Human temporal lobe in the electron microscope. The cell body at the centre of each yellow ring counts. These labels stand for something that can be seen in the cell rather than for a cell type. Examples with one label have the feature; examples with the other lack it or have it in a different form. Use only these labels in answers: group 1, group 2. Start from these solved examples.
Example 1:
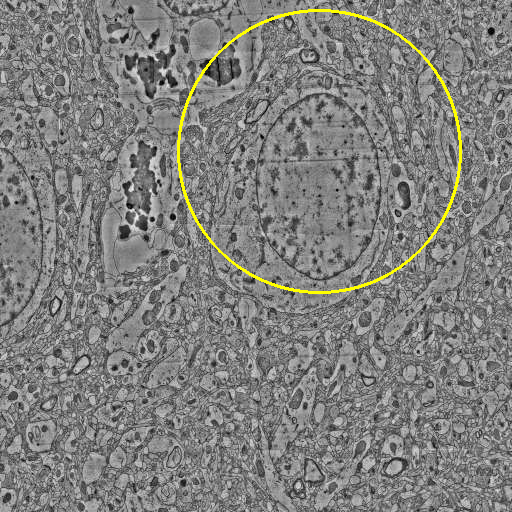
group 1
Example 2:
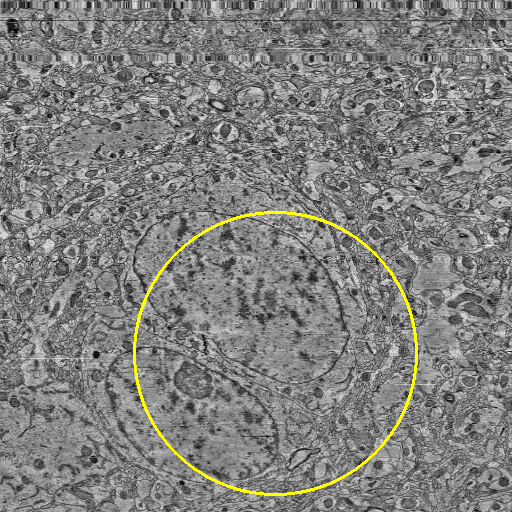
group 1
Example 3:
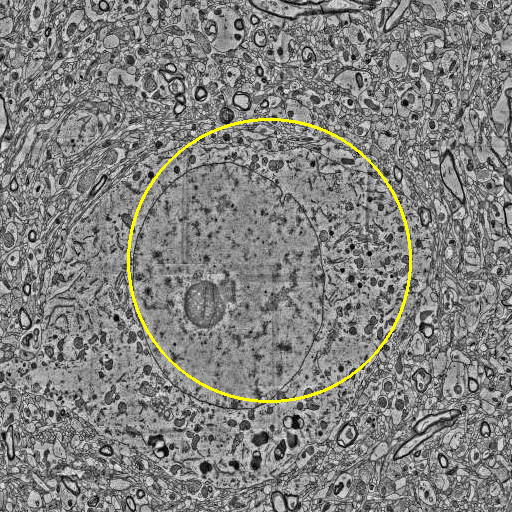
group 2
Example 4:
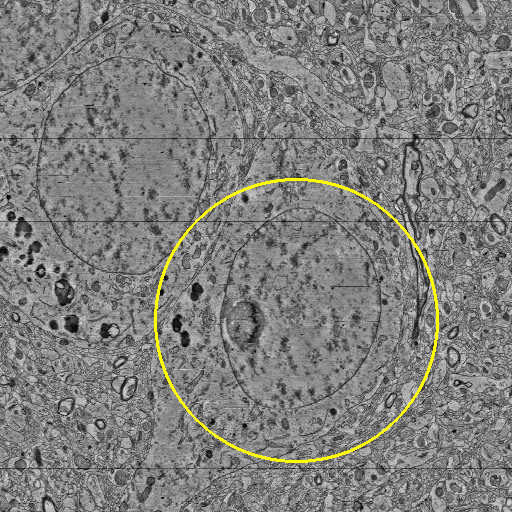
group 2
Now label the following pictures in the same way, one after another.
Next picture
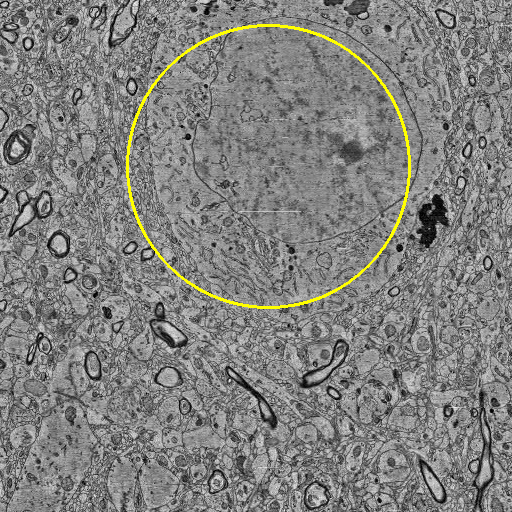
group 2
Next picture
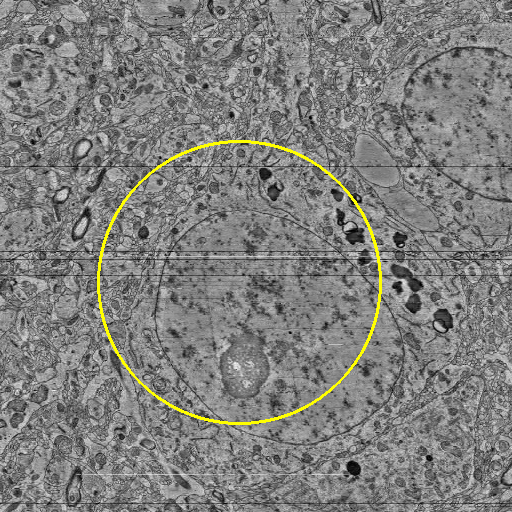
group 2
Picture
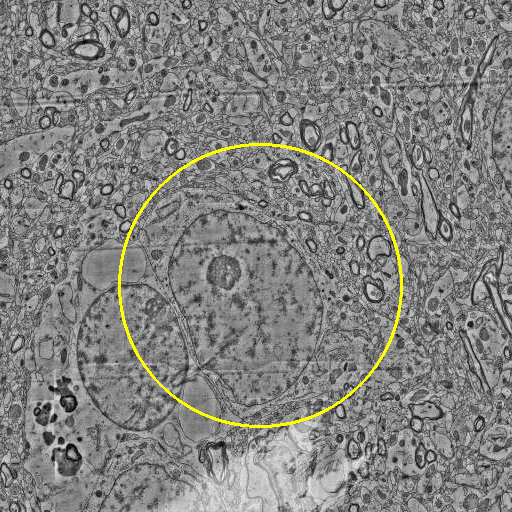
group 2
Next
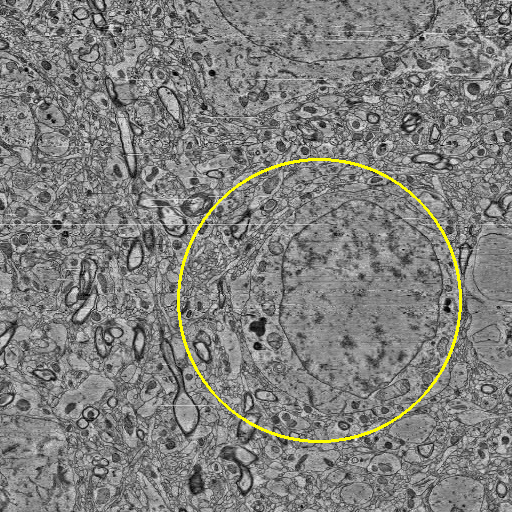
group 1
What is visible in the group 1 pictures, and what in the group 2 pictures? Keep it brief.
Seen in group 1: no nucleolus seen; seen in group 2: nucleolus seen.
